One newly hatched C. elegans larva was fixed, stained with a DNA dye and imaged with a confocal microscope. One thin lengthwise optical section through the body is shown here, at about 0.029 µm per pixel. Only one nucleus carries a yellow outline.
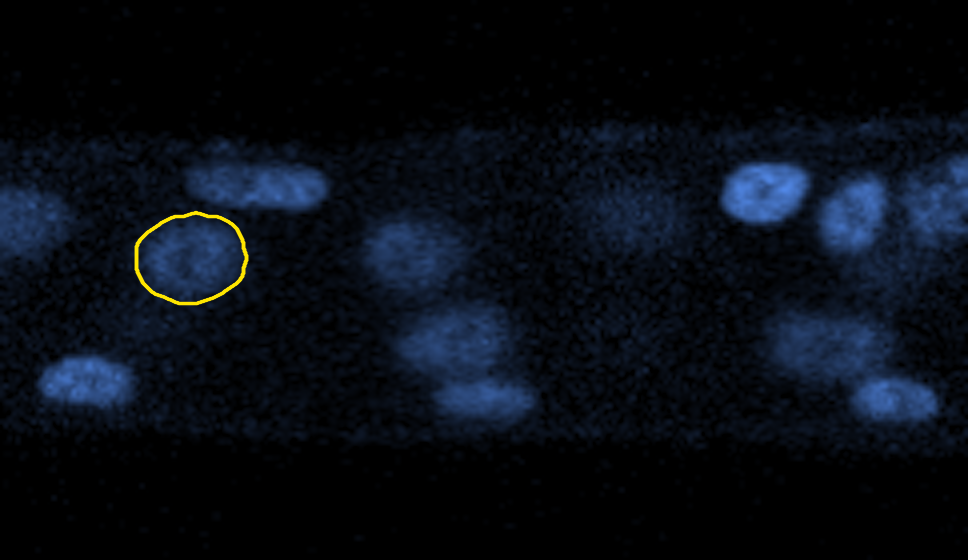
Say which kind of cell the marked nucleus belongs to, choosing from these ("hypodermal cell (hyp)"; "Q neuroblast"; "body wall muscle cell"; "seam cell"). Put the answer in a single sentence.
The marked nucleus belongs to a seam cell.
